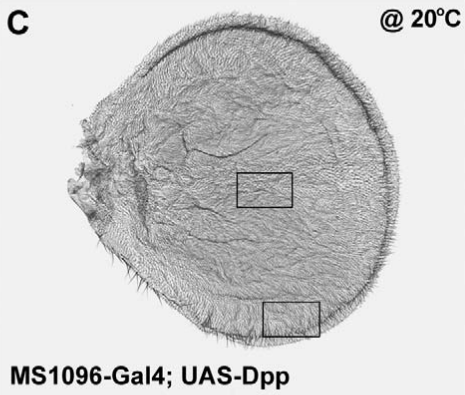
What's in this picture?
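This is a fly wing blade that is rounded rather than elongated, with a crumpled hinge at the left and a dark bristle-lined margin. No clear pattern of separate longitudinal veins and intervein regions can be made out; instead the whole surface looks uniformly darkened and densely covered with hairs. The hairs are crowded and do not point in one direction, forming swirls and patches of differing orientation. A few dark wrinkles or folds cross the middle of the blade.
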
